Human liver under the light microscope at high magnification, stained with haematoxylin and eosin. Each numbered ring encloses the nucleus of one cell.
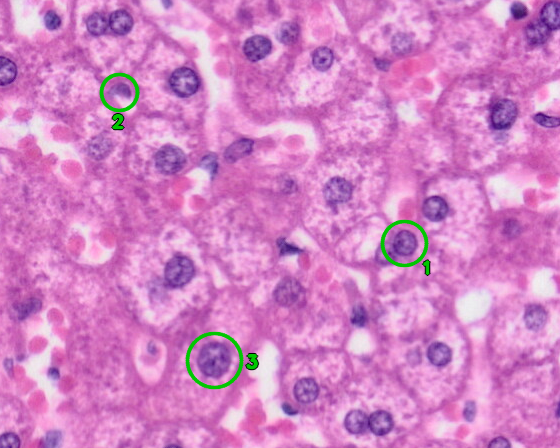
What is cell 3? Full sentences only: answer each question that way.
Classified as a hepatocyte is the cell with the number 3.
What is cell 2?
The numbered cell 2 is identified here as an endothelial cell.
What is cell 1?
Cell 1 in the field of view is a hepatocyte.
